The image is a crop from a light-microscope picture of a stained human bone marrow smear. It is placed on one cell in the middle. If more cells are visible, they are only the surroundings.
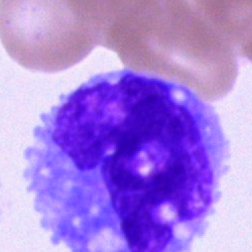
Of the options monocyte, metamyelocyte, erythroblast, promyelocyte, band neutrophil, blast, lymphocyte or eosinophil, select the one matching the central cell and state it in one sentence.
The middle of this crop is occupied by a monocyte.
